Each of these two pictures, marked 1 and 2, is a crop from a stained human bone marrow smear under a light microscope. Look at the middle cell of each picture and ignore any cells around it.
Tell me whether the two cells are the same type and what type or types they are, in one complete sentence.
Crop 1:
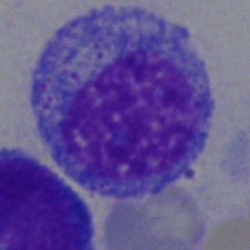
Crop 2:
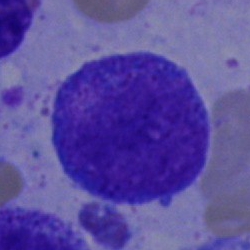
Yes, the central cells in both crops are promyelocytes.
